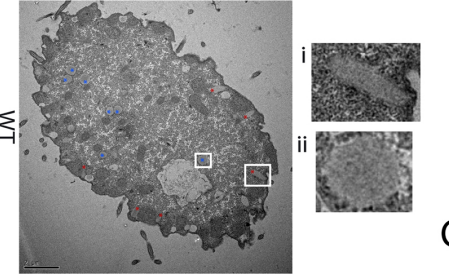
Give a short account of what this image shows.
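This transmission electron micrograph shows a section through a whole ciliated cell with dense, organelle-rich cytoplasm. Around the outside of the cell lie many small oval profiles, cilia cut in cross or oblique section. At the cell periphery, just beneath the plasma membrane, elongated membrane-bound secretory vesicles with fine, evenly textured contents are docked at the surface; these are mature mucocysts. Deeper in the cytoplasm lie rounder, shorter vesicles of varying shape, the immature mucocysts.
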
